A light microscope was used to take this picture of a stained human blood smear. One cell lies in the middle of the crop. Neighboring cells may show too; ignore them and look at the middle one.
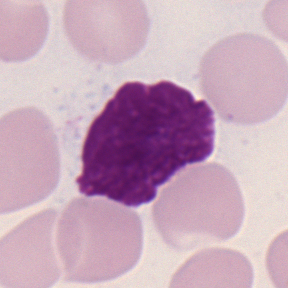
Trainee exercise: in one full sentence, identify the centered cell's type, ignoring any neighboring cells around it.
This crop is built around a smudge cell at its centre.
